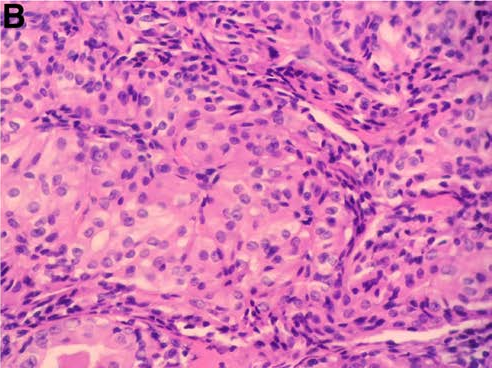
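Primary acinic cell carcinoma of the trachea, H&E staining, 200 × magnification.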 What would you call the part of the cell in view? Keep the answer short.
Abundant granular eosinophilic or clear cytoplasm.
